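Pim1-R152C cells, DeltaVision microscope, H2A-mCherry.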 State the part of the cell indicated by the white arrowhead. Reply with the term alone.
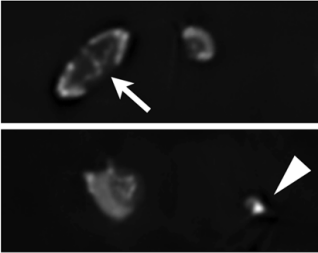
Hypercondensed chromatin.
